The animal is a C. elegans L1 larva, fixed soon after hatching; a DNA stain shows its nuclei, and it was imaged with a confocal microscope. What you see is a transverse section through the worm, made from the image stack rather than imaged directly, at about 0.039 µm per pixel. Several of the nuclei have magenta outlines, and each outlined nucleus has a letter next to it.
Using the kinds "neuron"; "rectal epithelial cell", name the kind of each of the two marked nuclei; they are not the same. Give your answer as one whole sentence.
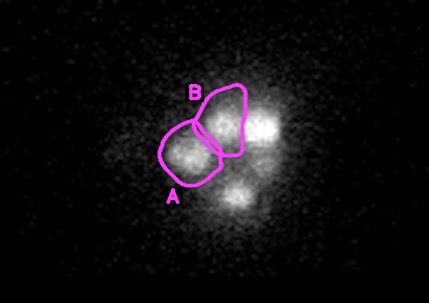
B belongs to a neuron, and A to a rectal epithelial cell.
